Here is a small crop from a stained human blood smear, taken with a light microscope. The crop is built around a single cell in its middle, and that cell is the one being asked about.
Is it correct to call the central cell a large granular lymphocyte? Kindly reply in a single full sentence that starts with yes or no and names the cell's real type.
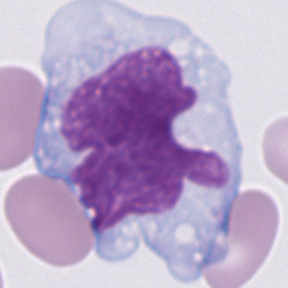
No, the centre cell is not a large granular lymphocyte but a monocyte.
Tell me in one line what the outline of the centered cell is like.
The cytoplasmic margin is uneven, whether through ragged segments or through projections.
